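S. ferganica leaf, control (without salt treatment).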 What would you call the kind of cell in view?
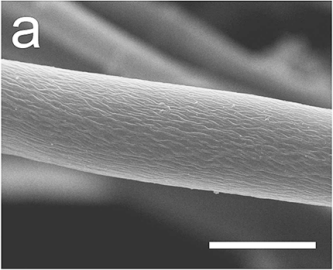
trichomes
